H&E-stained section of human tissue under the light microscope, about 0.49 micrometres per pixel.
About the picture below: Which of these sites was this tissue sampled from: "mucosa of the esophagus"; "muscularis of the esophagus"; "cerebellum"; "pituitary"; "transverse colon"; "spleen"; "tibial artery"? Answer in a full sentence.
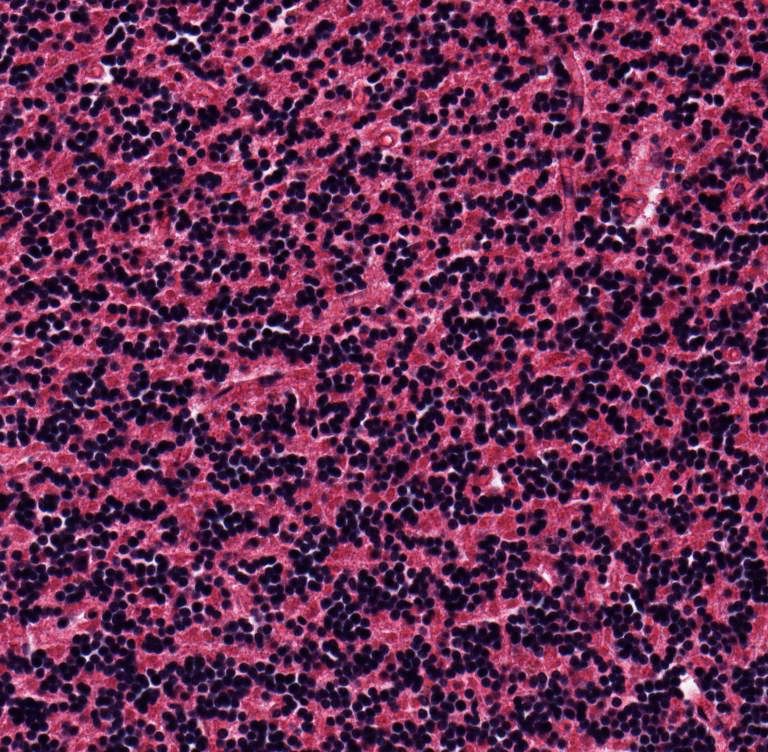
The site this tissue was sampled from is the cerebellum.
